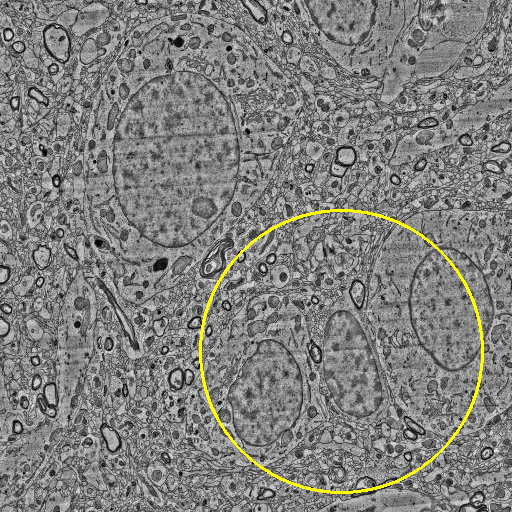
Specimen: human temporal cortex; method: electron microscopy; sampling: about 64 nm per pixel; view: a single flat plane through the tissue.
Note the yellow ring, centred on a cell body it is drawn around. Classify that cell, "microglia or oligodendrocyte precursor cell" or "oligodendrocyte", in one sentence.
The cell the ring is centred on is an oligodendrocyte.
